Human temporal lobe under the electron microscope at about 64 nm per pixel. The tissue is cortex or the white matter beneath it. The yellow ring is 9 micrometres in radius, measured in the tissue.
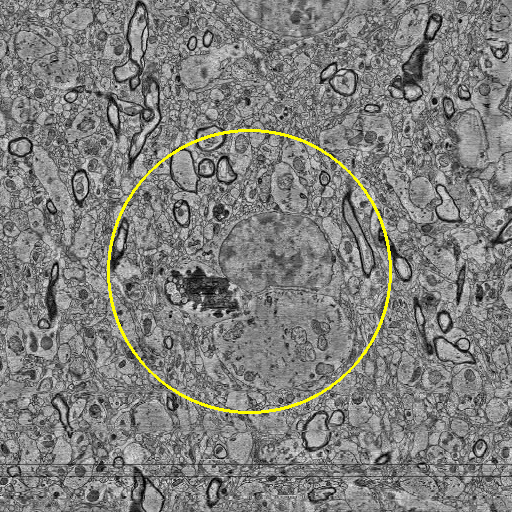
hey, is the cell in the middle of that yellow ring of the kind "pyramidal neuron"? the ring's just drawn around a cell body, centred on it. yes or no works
no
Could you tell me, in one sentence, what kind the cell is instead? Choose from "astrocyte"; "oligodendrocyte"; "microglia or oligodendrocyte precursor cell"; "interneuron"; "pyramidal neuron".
The cell that the ring is centred on is an oligodendrocyte.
